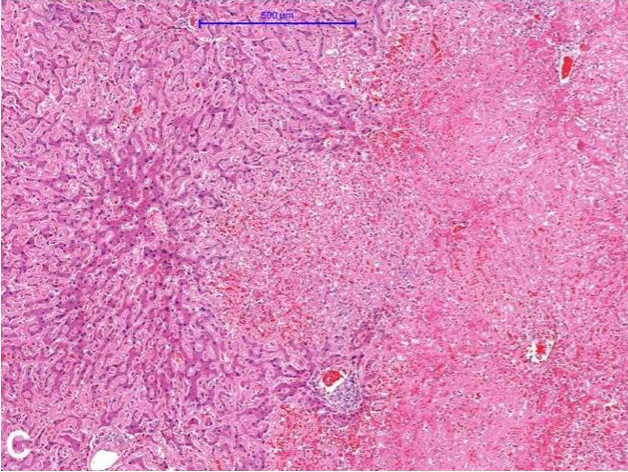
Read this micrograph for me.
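Liver at low power divided into two zones. On the left, viable hepatic parenchyma keeps cords of hepatocytes with purple nuclei radiating around small vessels, the cords separated by pale pink material. On the right, a broad irregular area has lost hepatocyte plates and nuclei, appearing pale and granular, with many extravasated red blood cells scattered through it; the boundary between the zones is irregular, map-like. Small vessels containing red blood cells persist within the damaged area, and one is cuffed by a small cluster of purple-staining cells.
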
